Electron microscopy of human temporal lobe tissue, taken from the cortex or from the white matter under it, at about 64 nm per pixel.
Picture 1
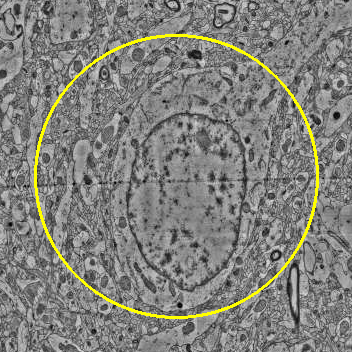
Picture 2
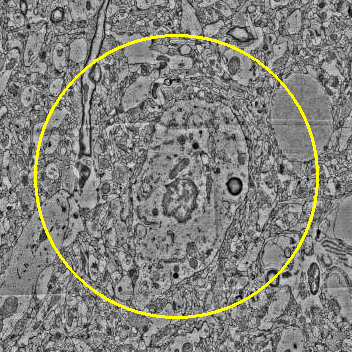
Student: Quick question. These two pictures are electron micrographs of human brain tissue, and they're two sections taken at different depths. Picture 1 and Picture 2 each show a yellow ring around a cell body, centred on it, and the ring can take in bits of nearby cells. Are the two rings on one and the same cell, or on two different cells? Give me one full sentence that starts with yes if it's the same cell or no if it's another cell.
Yes, one cell appears twice, once in each ring.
